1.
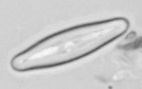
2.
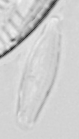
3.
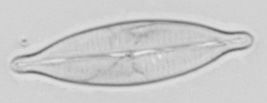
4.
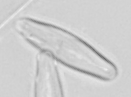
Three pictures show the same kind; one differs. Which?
Picture 3: Navicula, while the others are Achnanthidium.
